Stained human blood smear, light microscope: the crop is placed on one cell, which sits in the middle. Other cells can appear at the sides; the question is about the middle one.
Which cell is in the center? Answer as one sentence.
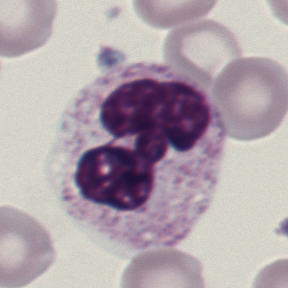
The cell nearest the centre of this crop is a segmented neutrophil.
